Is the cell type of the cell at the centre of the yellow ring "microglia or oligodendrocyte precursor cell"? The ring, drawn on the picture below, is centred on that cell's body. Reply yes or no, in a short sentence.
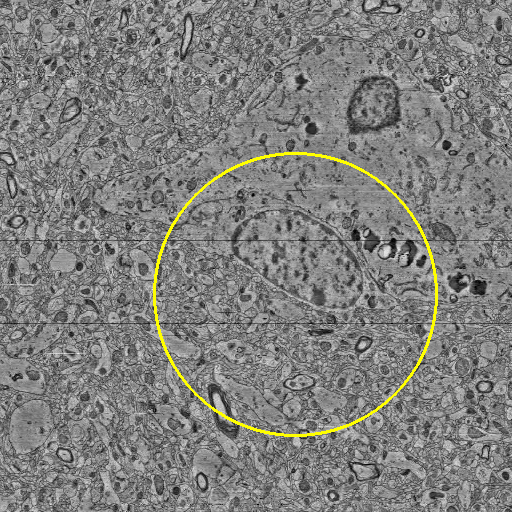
Yes, that is its cell type.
